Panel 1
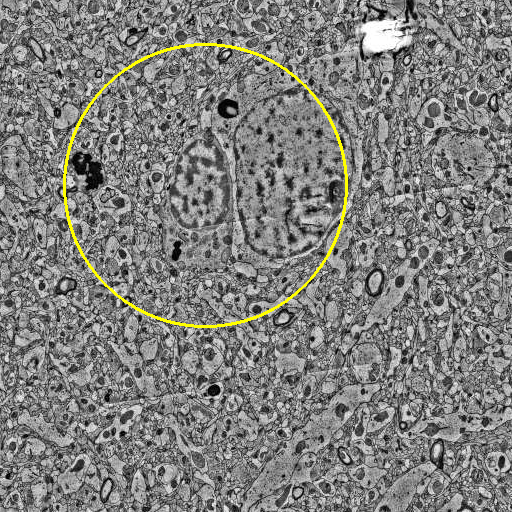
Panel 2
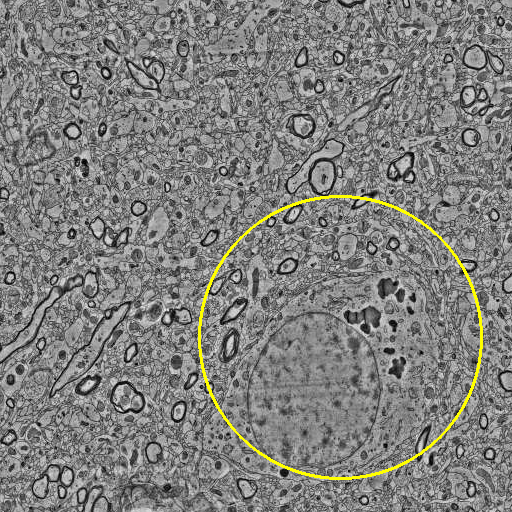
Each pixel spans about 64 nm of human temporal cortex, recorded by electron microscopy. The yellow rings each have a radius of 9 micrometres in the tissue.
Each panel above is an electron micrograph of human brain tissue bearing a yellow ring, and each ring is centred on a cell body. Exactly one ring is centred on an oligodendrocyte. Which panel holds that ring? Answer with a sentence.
That ring is in Panel 1.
